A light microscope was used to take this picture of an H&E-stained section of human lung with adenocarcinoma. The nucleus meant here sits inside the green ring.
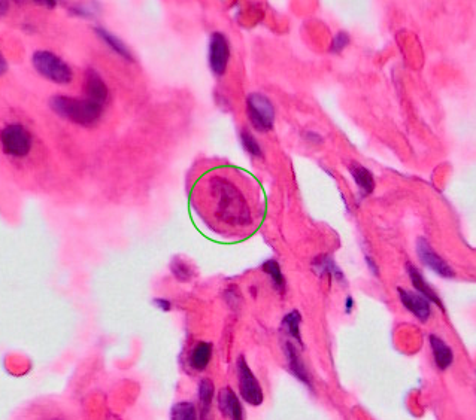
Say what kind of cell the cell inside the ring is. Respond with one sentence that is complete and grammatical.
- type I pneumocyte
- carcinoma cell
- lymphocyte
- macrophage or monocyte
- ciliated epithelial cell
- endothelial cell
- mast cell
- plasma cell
The identity of the cell inside the ring: it is a macrophage or monocyte.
